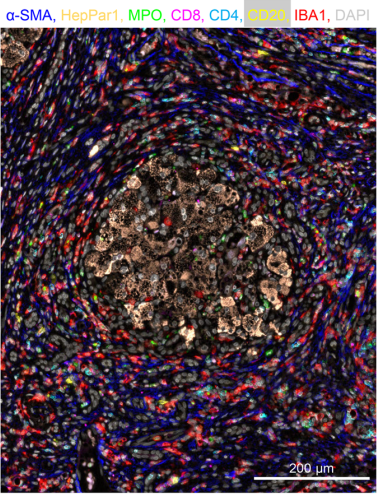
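In the middle of this liver section sits an island of large hepatocytes, with broad peach cytoplasm and round nuclei. Elongated blue spindle cells run in curving bands through the surrounding tissue.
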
